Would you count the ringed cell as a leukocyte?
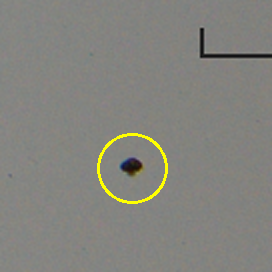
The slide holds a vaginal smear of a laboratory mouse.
Yes, I would count it as a leukocyte.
